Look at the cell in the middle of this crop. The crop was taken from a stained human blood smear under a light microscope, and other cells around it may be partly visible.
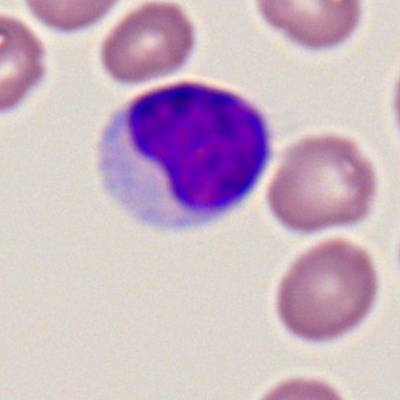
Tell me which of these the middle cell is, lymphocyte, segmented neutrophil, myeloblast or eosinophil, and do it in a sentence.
In the crop, the cell of interest at the centre is a lymphocyte.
